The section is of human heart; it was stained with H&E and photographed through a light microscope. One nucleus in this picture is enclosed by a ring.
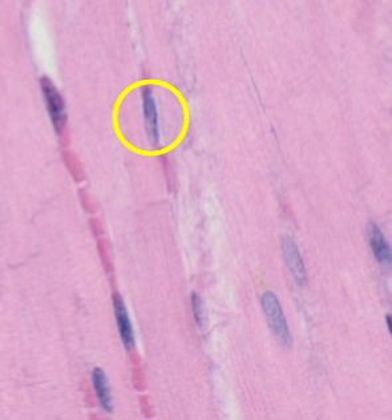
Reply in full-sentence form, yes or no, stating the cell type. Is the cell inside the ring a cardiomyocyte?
No, the cell inside the ring is an endothelial cell rather than a cardiomyocyte in this section.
